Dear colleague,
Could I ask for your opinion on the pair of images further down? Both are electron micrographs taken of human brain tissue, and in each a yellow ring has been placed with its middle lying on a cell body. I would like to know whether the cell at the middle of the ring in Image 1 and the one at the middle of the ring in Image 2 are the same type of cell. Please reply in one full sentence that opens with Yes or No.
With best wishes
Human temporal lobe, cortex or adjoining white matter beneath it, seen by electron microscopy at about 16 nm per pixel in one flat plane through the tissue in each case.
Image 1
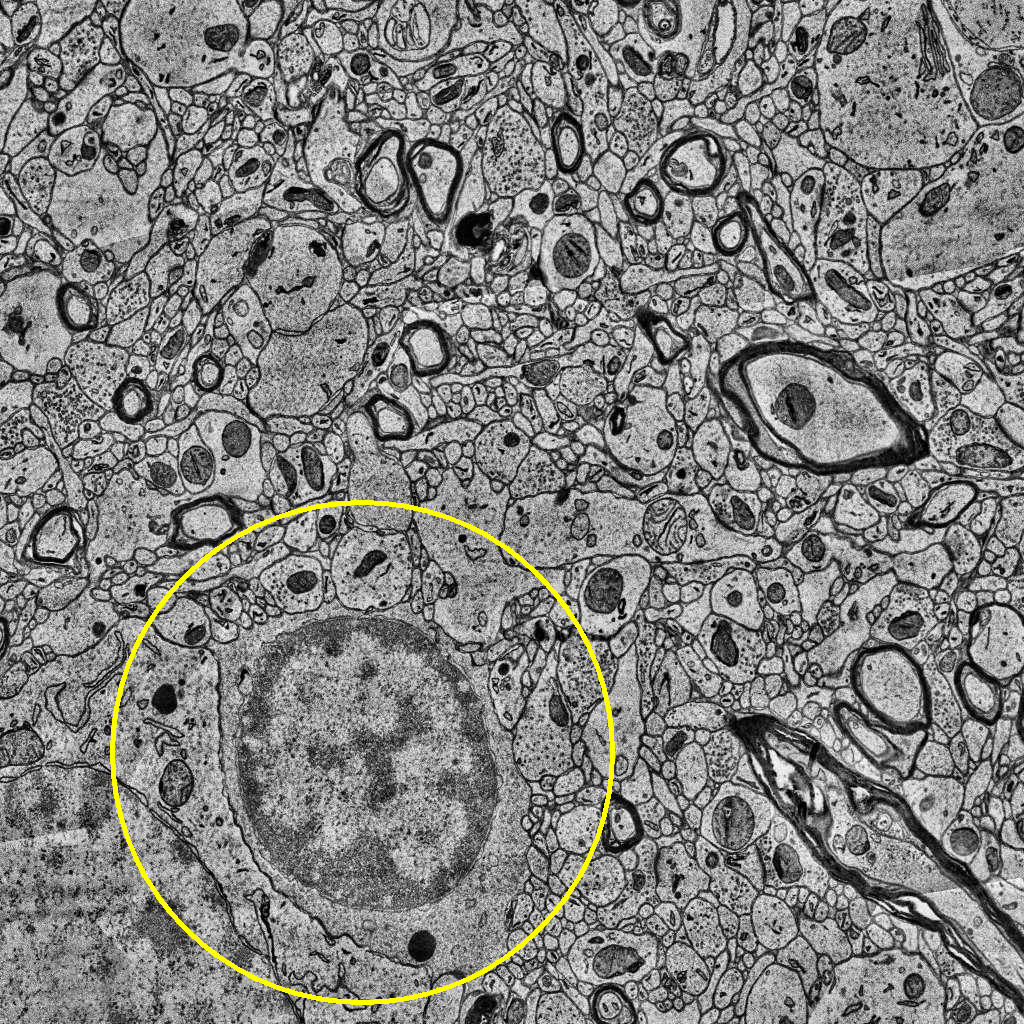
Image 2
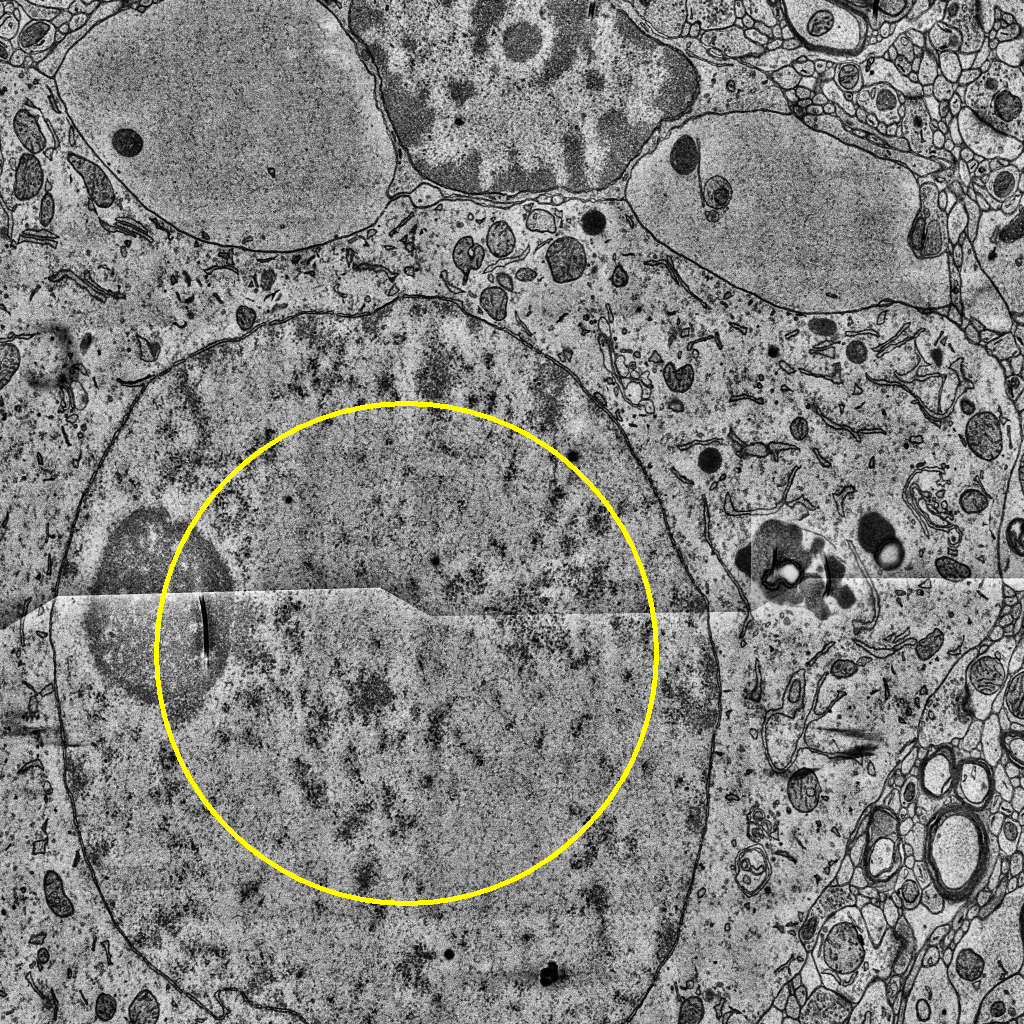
No, the cells at the ring centres in Image 1 and Image 2 are of two types.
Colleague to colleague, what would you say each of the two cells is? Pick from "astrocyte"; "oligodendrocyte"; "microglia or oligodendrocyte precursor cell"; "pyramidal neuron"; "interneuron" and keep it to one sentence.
The cell marked in the first picture is an oligodendrocyte, and the one marked in the second is a pyramidal neuron.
